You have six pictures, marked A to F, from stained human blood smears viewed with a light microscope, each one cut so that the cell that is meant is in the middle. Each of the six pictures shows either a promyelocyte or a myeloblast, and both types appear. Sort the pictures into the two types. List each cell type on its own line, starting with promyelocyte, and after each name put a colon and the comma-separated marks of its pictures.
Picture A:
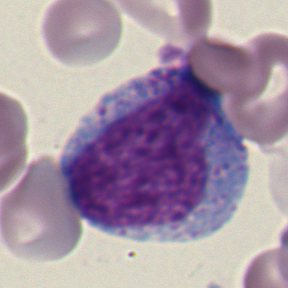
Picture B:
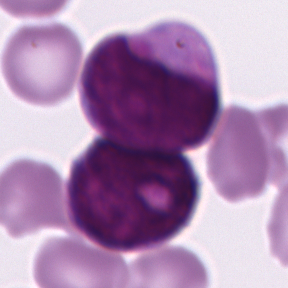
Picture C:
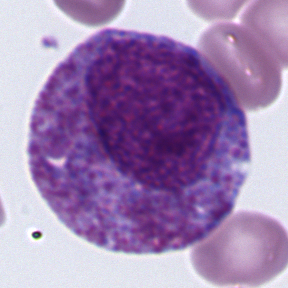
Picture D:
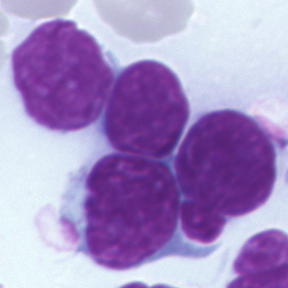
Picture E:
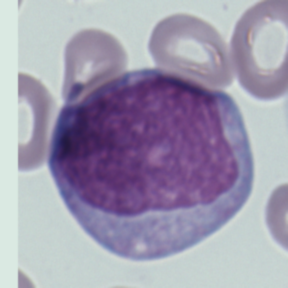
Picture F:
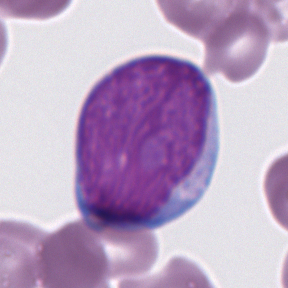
promyelocyte: A, C, E
myeloblast: B, D, F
